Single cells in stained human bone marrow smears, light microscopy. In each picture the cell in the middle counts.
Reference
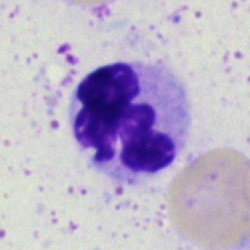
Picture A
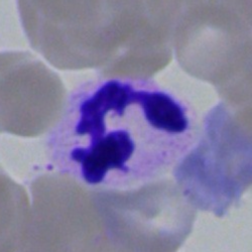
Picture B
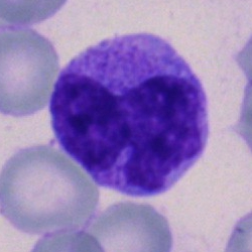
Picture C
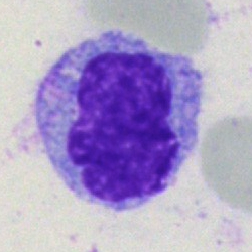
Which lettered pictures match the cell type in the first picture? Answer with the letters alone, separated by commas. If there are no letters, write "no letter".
A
